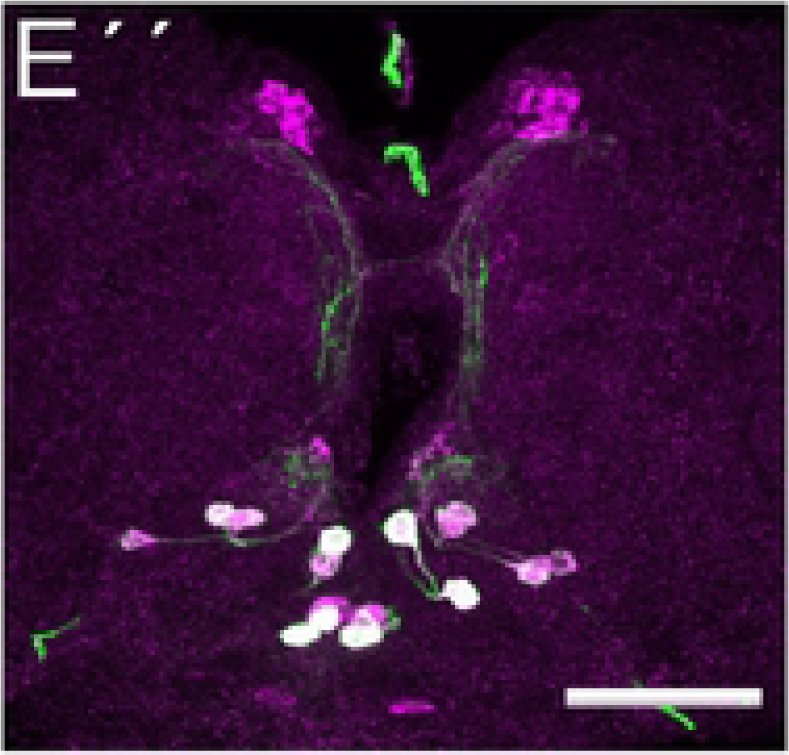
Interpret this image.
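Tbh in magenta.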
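A fluorescence view of the subesophageal region of a larval central nervous system showing a cluster of neuronal cell bodies near the midline. Thin green neurites leave the somata and run upward in paired tracts that arch toward the brain lobes, and a few fibres extend laterally and downward. The background neuropil is faintly magenta.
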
